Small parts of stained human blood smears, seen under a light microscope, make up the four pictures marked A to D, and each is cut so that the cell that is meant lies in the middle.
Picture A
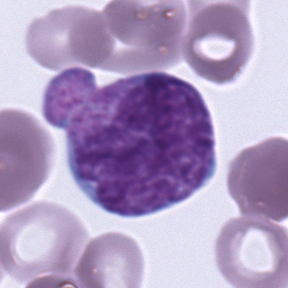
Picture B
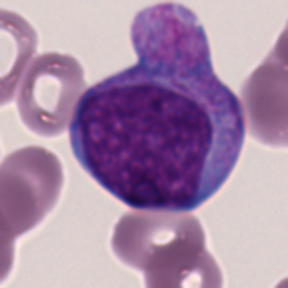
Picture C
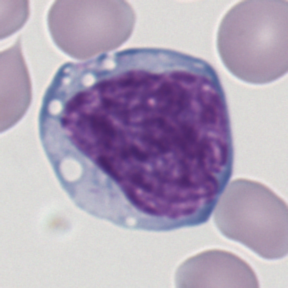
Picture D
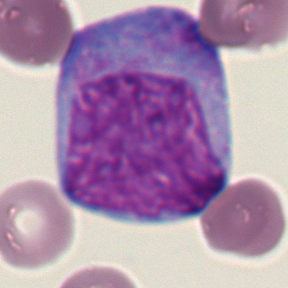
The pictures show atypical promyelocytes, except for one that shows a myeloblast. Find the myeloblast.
C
